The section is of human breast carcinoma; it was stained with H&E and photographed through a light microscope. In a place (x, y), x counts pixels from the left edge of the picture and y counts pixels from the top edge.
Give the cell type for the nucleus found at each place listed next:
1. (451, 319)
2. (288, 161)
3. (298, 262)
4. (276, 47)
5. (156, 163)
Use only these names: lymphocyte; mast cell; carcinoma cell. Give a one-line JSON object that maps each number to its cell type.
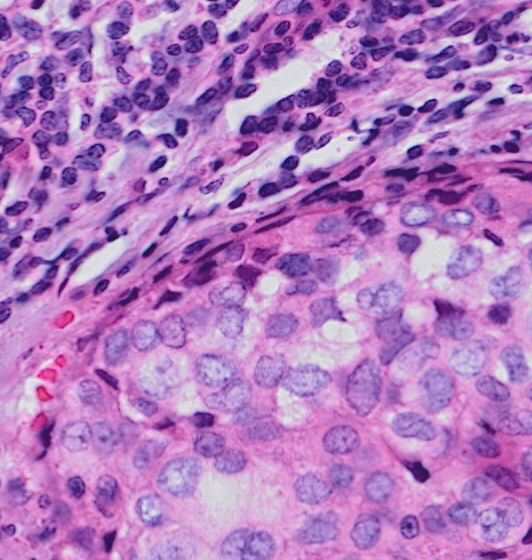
{"1": "carcinoma cell", "2": "lymphocyte", "3": "carcinoma cell", "4": "lymphocyte", "5": "lymphocyte"}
